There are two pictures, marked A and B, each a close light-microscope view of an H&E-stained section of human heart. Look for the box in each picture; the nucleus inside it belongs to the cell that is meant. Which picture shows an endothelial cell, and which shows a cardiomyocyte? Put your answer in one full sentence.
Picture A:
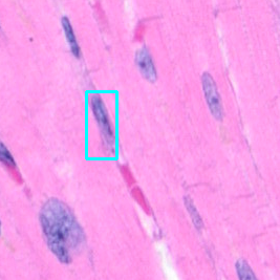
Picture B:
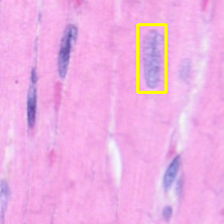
Picture A is of an endothelial cell, and picture B is of a cardiomyocyte.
